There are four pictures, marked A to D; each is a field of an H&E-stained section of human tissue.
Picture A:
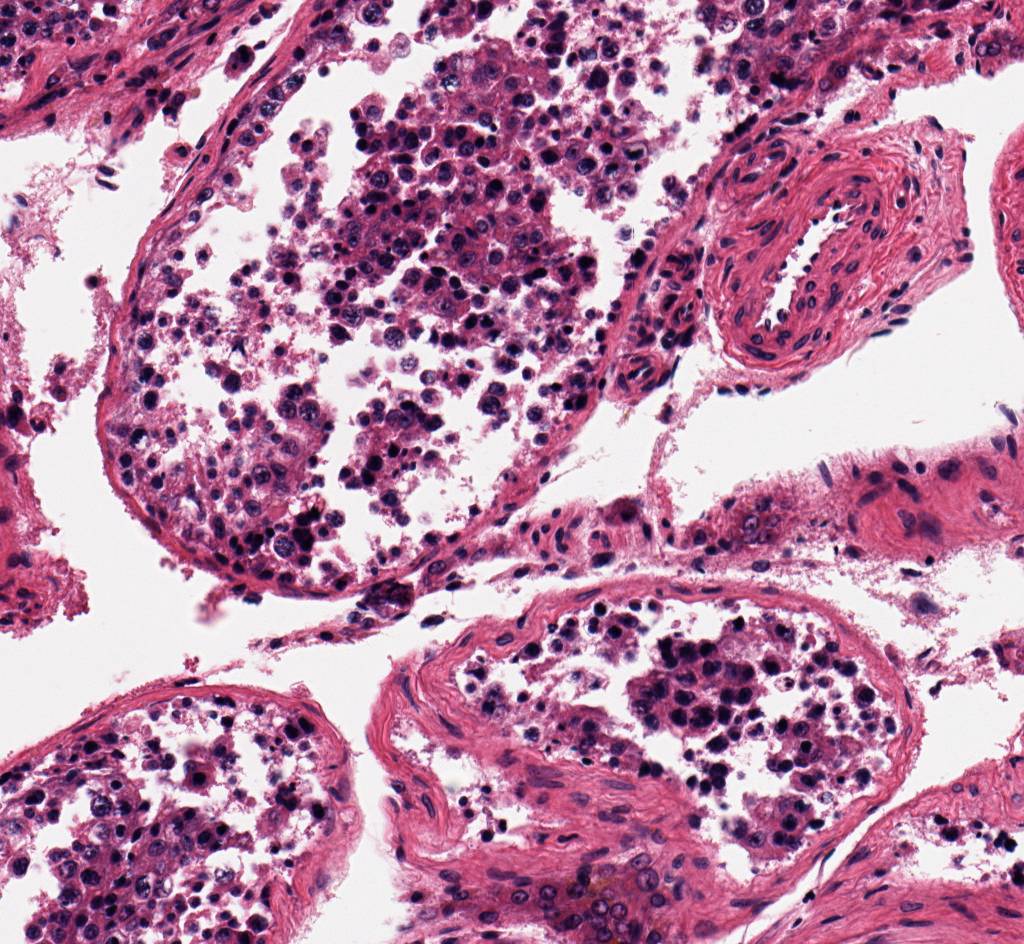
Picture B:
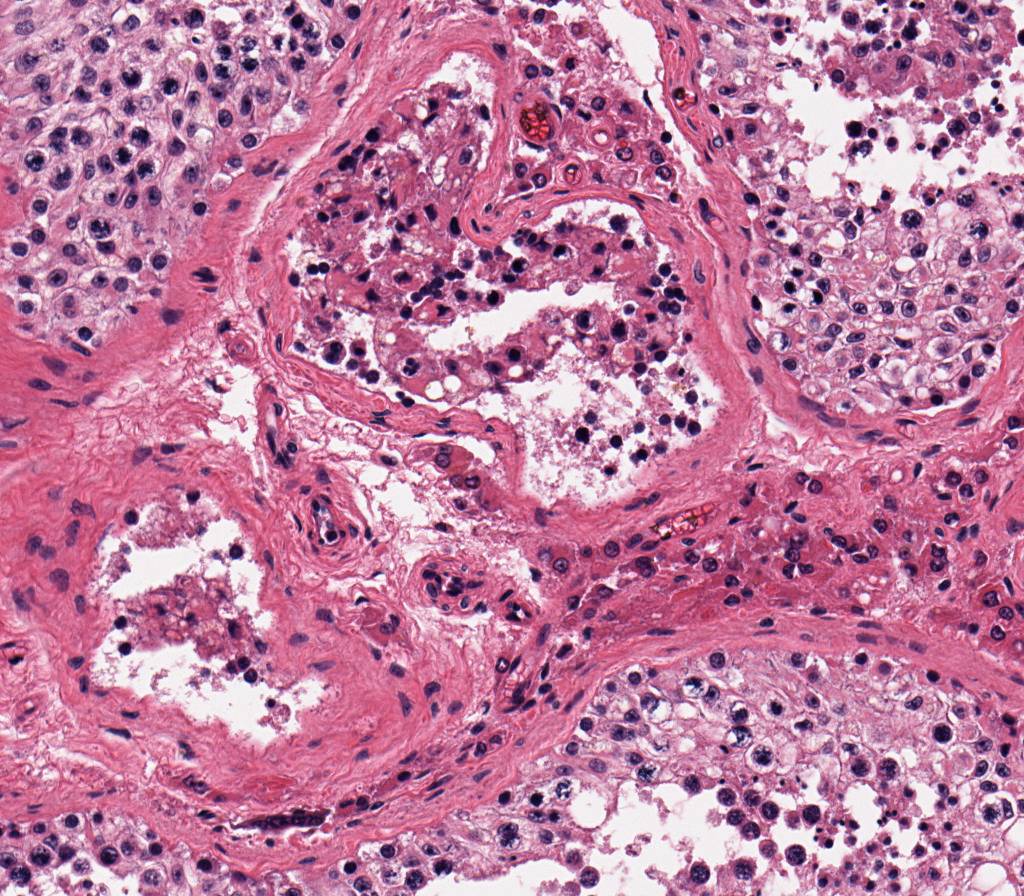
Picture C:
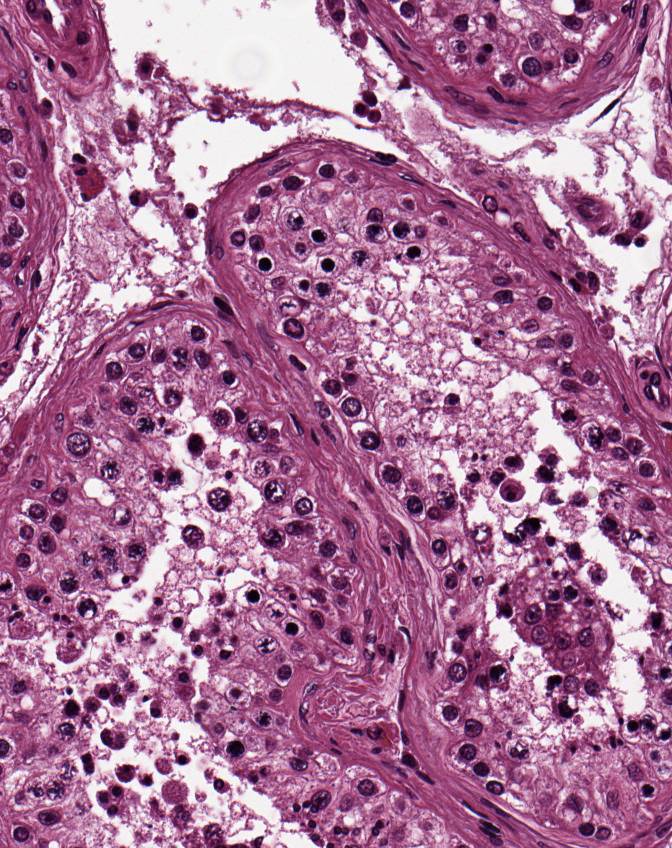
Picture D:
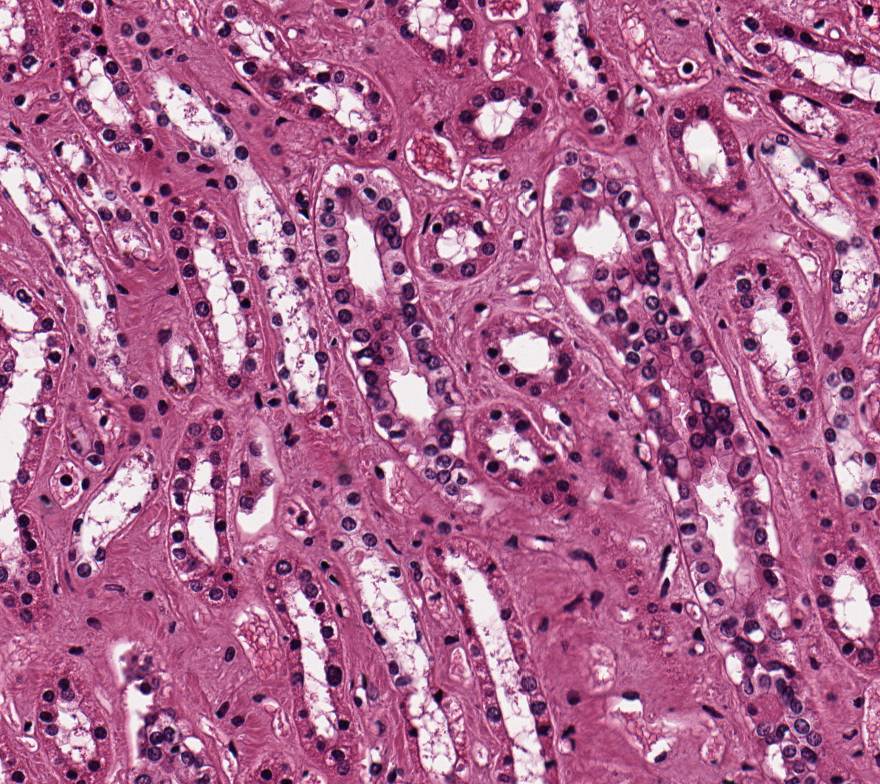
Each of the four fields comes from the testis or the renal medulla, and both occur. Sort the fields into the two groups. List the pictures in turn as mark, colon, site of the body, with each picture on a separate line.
A: testis
B: testis
C: testis
D: renal medulla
